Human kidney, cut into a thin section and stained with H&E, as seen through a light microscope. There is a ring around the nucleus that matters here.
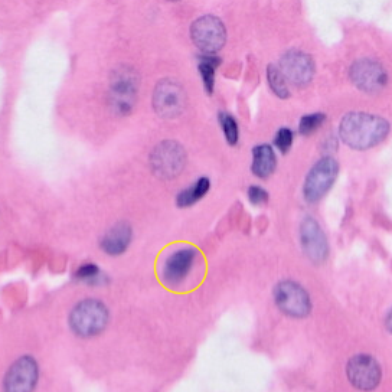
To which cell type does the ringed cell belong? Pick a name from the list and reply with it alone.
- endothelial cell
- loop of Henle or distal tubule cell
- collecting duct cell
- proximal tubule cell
endothelial cell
